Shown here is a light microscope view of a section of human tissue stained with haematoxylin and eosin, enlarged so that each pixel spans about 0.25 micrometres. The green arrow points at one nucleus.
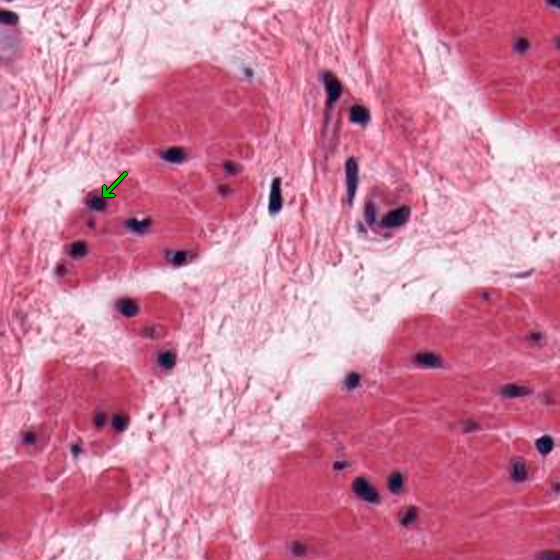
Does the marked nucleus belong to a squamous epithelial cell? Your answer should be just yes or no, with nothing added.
no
